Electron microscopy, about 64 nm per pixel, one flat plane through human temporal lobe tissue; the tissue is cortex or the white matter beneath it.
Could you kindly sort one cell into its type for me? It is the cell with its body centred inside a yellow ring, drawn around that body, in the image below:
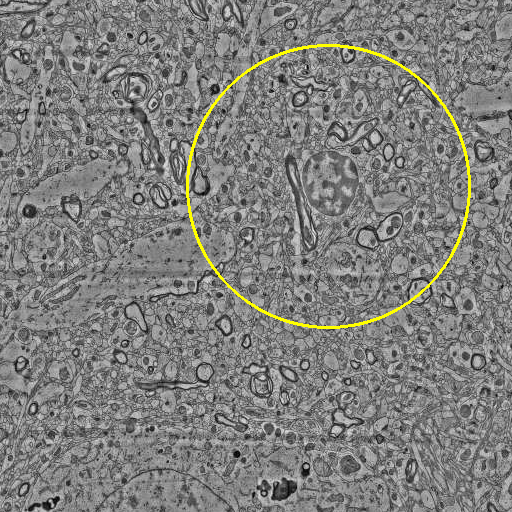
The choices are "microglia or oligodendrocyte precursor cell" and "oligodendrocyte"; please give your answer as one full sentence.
The cell whose body lies centred in the yellow ring here is a microglial cell or oligodendrocyte precursor cell.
